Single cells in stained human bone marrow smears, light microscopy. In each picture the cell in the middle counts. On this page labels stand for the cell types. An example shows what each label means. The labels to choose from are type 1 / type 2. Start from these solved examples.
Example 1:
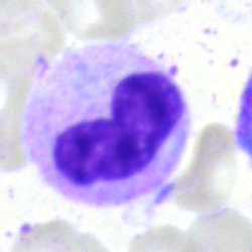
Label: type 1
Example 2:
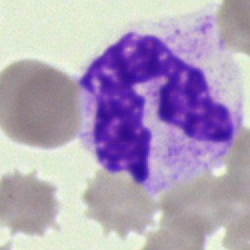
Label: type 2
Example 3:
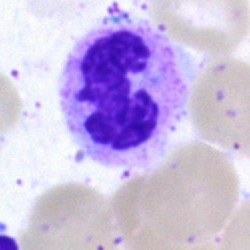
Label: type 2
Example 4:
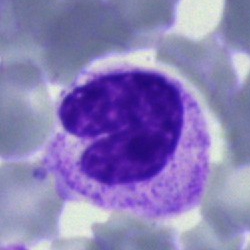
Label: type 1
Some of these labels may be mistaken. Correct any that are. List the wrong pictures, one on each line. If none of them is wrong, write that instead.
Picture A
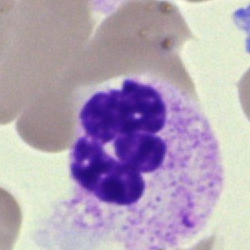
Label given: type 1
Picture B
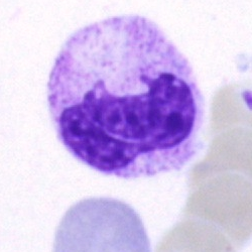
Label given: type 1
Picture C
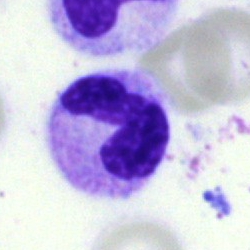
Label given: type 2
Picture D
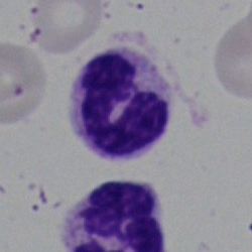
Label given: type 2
A: not type 1 but type 2
C: not type 2 but type 1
